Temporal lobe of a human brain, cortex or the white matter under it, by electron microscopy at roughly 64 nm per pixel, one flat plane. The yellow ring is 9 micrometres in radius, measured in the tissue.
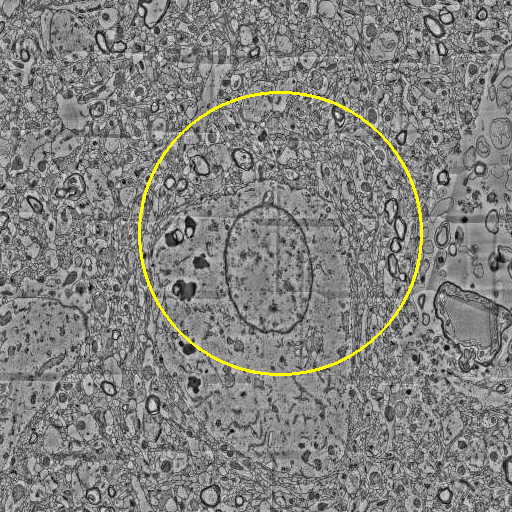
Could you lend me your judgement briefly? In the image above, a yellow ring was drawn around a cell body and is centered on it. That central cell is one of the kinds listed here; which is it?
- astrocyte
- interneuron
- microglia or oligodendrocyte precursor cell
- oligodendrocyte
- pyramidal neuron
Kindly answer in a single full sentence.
Going by the list, a pyramidal neuron is the kind at the ring's center in the picture.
